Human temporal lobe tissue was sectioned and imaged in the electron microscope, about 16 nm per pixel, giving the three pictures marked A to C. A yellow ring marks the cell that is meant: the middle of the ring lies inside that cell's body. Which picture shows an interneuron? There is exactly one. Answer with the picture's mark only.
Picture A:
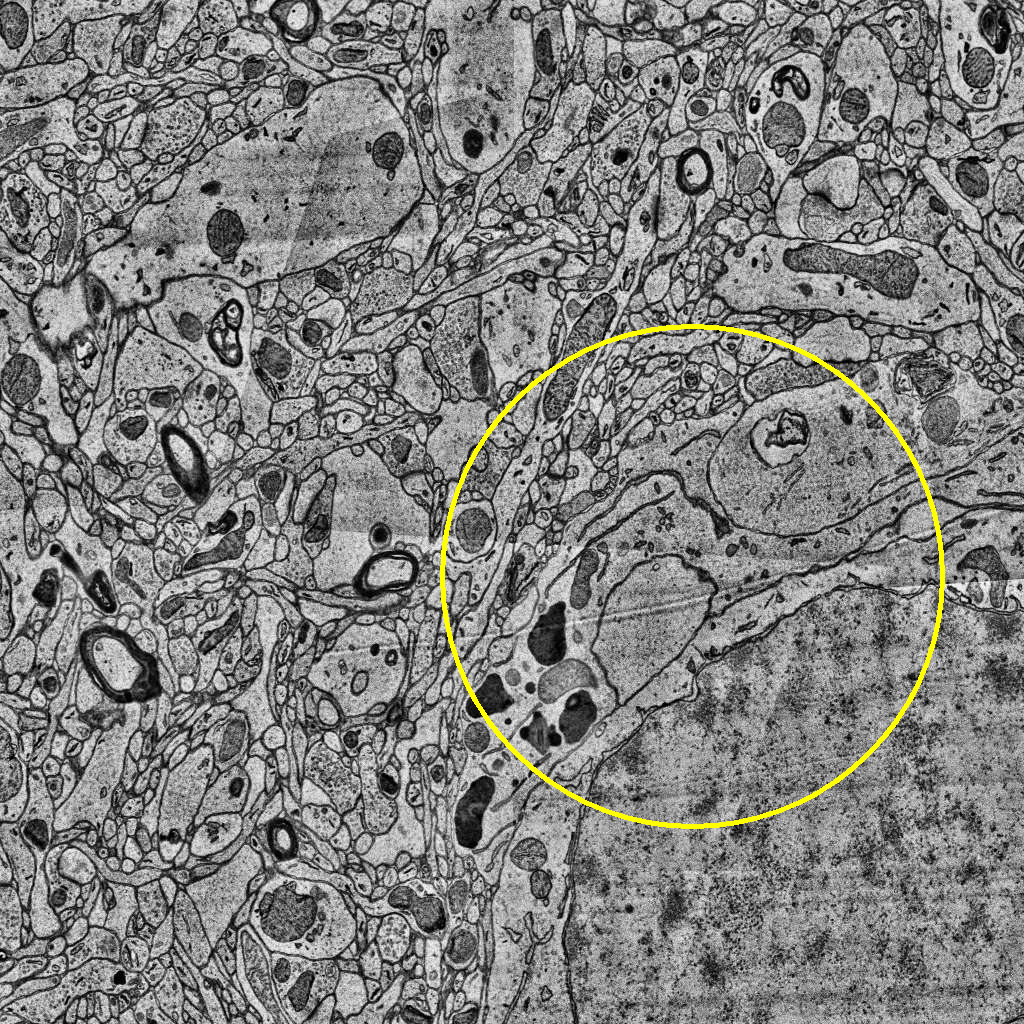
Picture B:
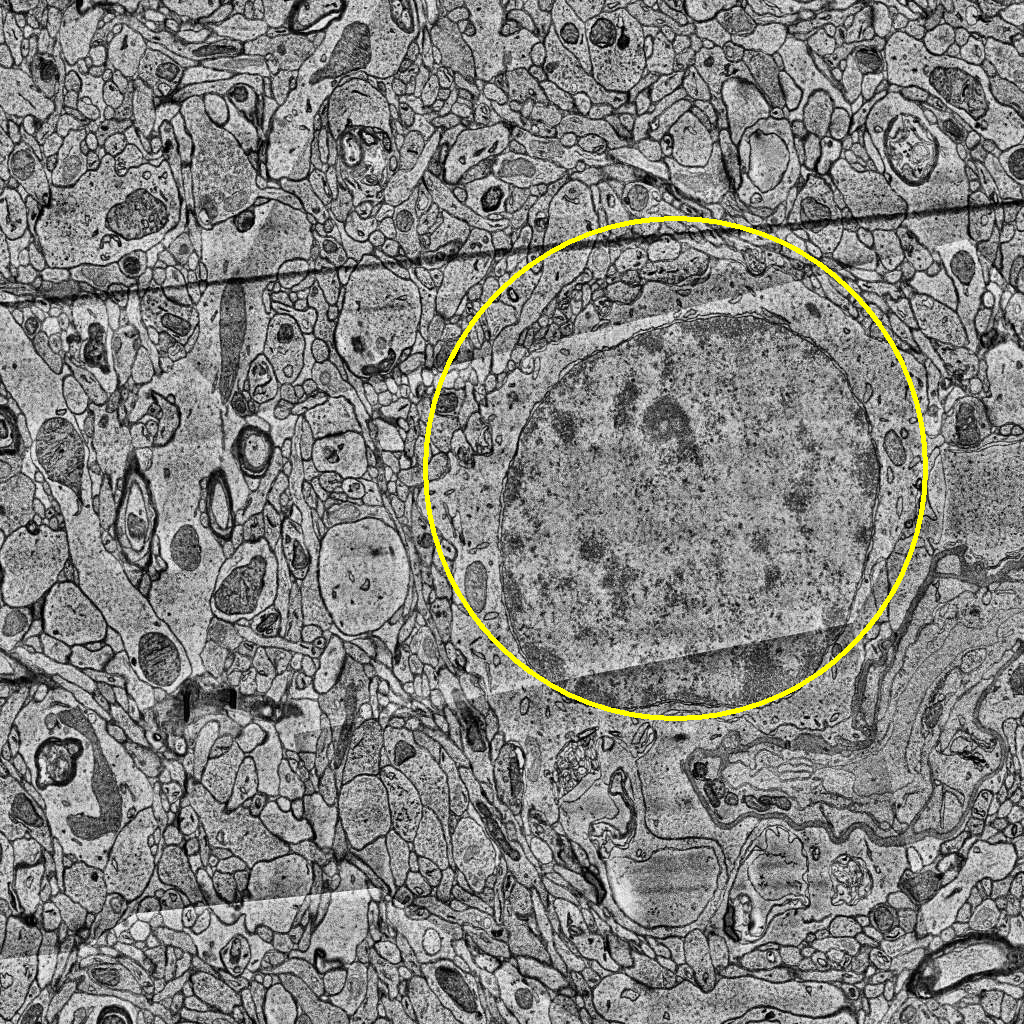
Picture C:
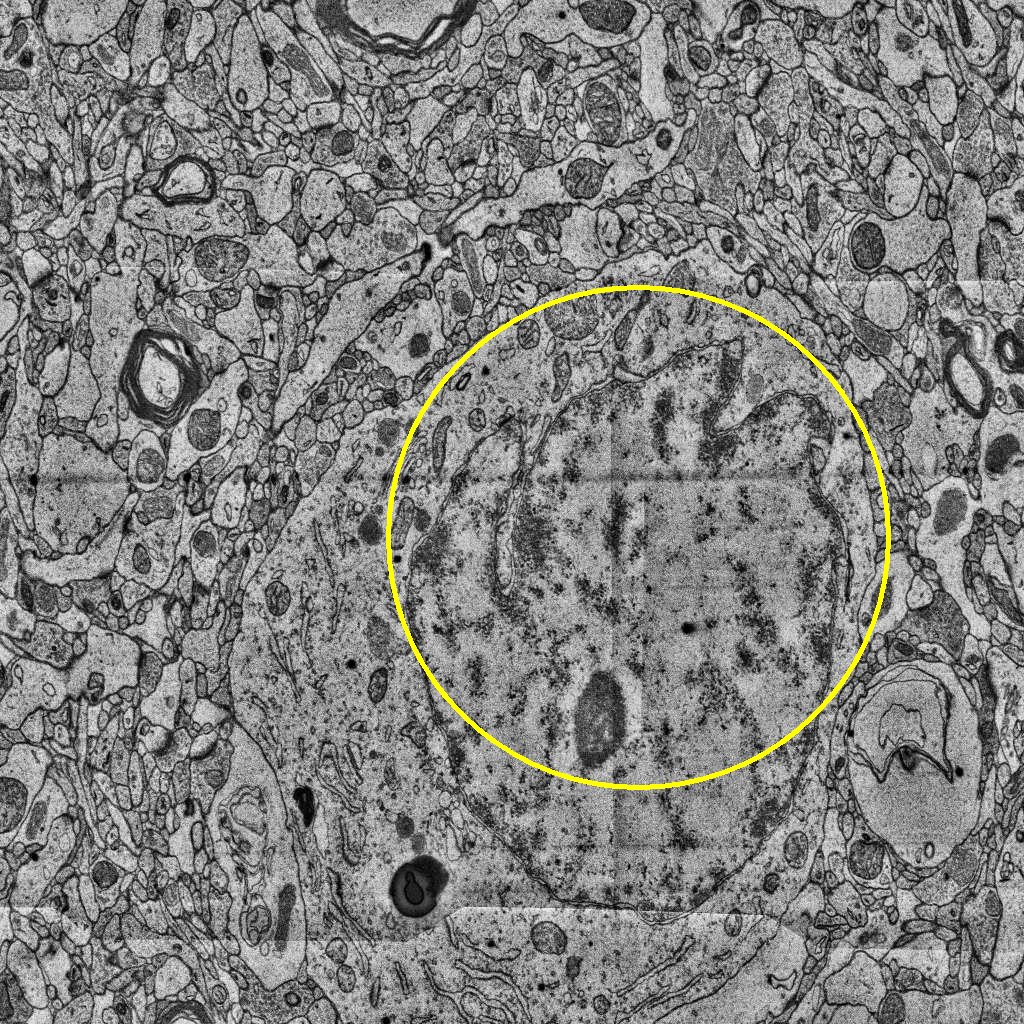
C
